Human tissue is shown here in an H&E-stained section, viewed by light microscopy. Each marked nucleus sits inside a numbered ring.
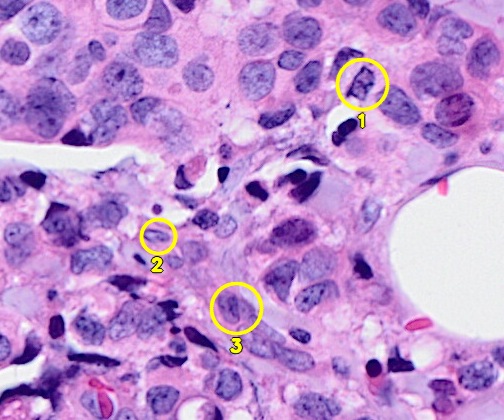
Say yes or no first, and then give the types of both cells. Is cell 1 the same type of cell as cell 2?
No, cell 1 is a carcinoma cell; as for cell 2, that one is an endothelial cell.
